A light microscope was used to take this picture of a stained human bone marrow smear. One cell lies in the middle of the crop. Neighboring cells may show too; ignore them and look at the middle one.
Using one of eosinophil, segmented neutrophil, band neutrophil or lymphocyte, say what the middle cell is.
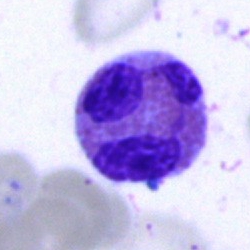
eosinophil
